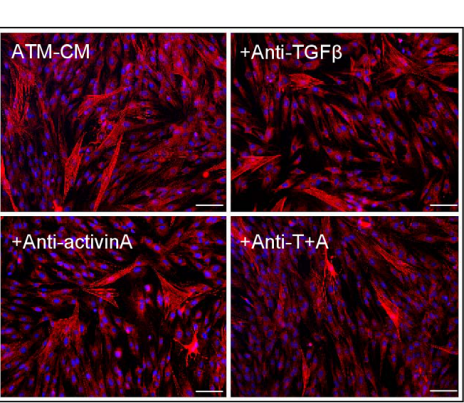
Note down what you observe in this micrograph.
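Scattered among them are larger, broadly spread cells whose cytoplasm is crossed by bright red, fibre-like bundles running along the cell's length. The remaining cells show only fainter red staining.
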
